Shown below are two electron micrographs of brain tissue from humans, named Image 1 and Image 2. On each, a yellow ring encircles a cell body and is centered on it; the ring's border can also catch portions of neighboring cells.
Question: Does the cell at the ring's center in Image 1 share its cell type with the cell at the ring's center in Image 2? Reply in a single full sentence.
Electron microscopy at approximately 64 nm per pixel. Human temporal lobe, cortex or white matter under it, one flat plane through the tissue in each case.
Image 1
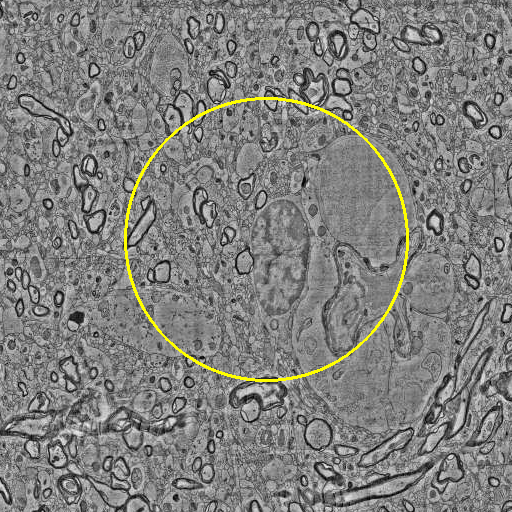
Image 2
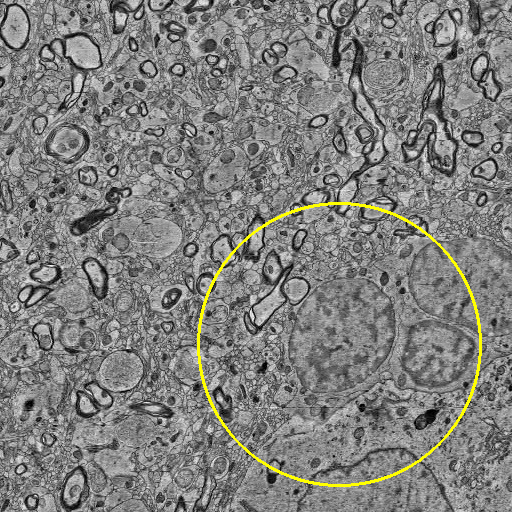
Yes, the two cells at the ring centers, in Image 1 and Image 2, share one cell type.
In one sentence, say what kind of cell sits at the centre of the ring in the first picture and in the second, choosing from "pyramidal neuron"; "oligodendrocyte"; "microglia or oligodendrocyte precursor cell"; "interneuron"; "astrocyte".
The cell in the first picture is an oligodendrocyte, and so is the one in the second.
